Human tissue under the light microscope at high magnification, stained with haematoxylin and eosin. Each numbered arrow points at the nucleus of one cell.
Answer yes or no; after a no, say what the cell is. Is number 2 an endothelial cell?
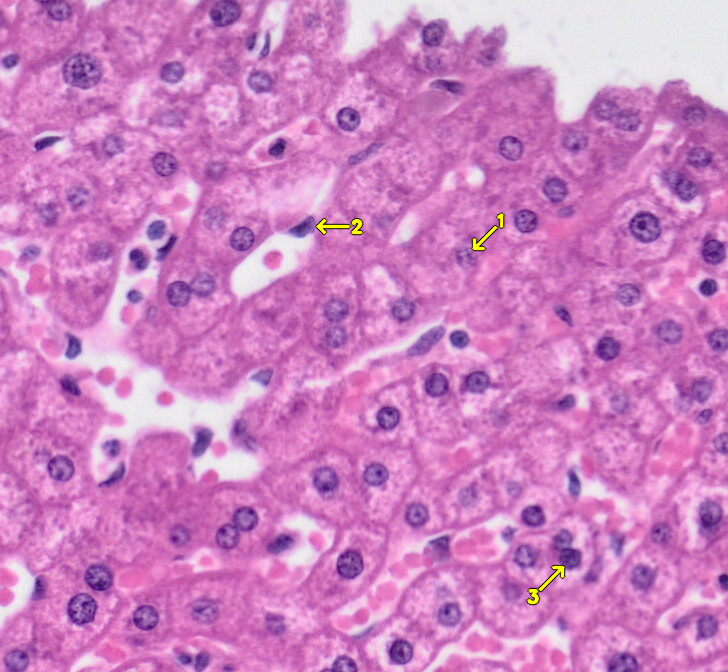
Yes.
